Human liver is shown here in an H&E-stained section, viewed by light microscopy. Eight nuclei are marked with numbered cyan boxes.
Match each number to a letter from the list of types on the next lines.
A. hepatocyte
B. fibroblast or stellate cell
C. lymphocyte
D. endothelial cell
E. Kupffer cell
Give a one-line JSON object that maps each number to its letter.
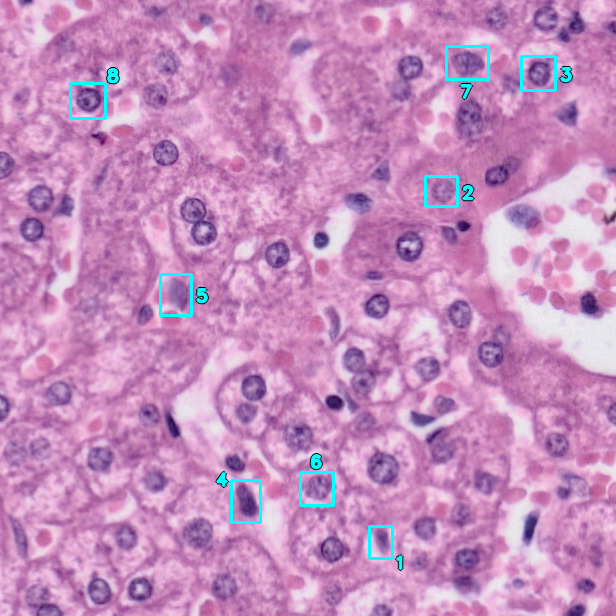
{"1": "E", "2": "A", "3": "A", "4": "E", "5": "D", "6": "A", "7": "E", "8": "A"}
